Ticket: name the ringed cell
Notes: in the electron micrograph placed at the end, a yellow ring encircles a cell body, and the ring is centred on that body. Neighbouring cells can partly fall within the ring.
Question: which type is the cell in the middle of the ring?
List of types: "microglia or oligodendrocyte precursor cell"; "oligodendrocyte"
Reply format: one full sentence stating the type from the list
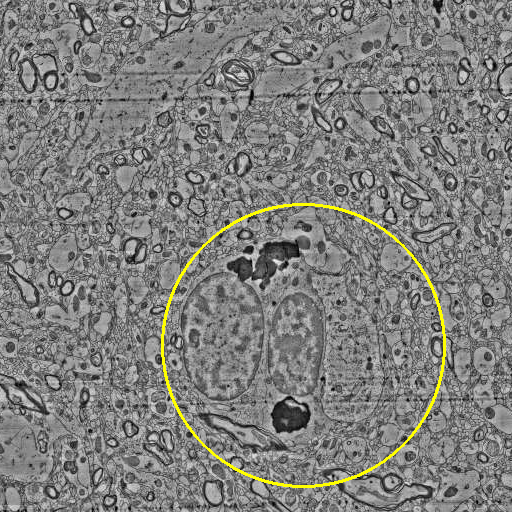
The cell sitting at the centre of the yellow ring is an oligodendrocyte.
